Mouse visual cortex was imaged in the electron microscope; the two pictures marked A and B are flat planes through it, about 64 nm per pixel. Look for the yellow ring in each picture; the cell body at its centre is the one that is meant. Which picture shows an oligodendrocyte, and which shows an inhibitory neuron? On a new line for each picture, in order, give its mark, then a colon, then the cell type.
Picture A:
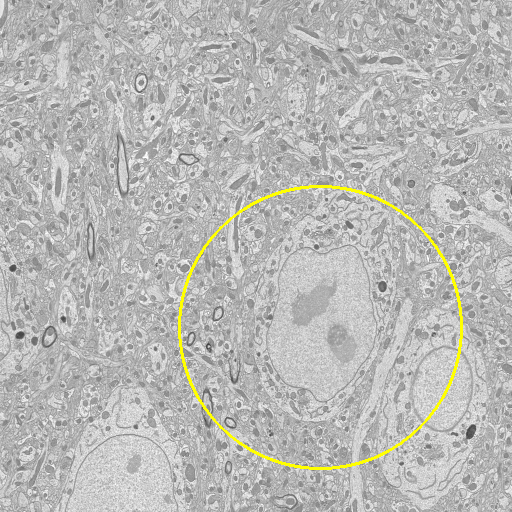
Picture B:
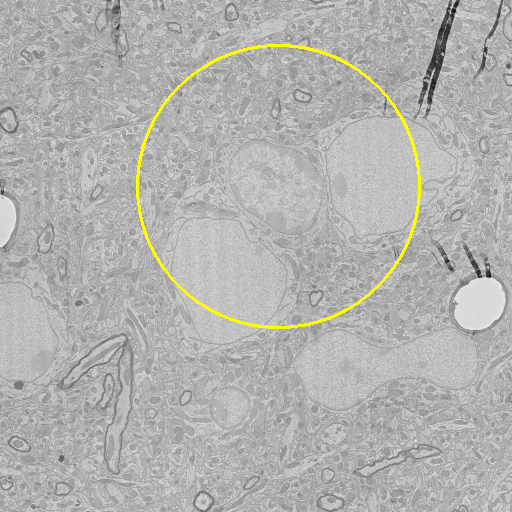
A: inhibitory neuron
B: oligodendrocyte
